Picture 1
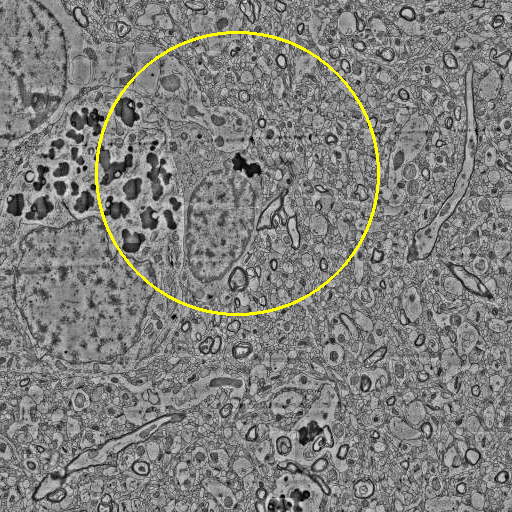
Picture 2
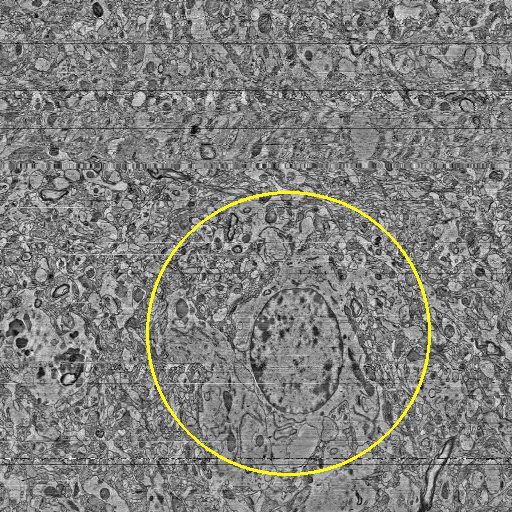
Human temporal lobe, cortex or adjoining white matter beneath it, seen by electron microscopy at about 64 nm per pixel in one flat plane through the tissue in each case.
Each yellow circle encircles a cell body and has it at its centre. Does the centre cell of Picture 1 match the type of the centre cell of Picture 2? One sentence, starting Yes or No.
No, the cell centred in Picture 1 and the one in Picture 2 have separate types.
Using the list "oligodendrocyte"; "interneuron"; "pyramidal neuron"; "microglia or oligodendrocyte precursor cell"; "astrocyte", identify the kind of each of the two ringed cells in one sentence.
The first is an oligodendrocyte and the second is an astrocyte.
